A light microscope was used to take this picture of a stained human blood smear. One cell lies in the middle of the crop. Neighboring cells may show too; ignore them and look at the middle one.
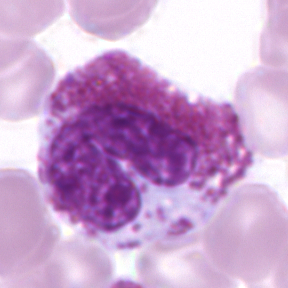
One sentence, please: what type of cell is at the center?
The cell occupying the middle of the crop is an eosinophil.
